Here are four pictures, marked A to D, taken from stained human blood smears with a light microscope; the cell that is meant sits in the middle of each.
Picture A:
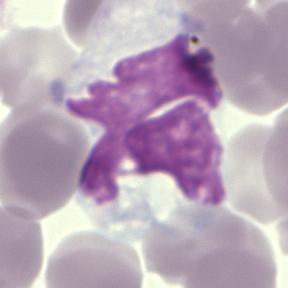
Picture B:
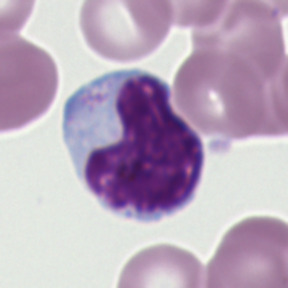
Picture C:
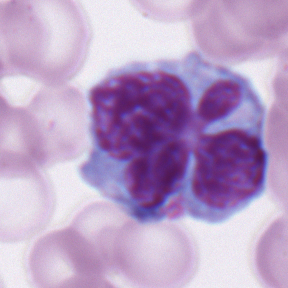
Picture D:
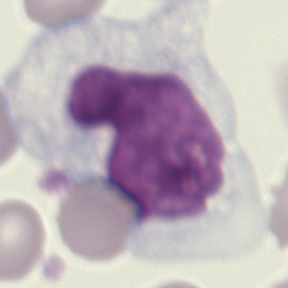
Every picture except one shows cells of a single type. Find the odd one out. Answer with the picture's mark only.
B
